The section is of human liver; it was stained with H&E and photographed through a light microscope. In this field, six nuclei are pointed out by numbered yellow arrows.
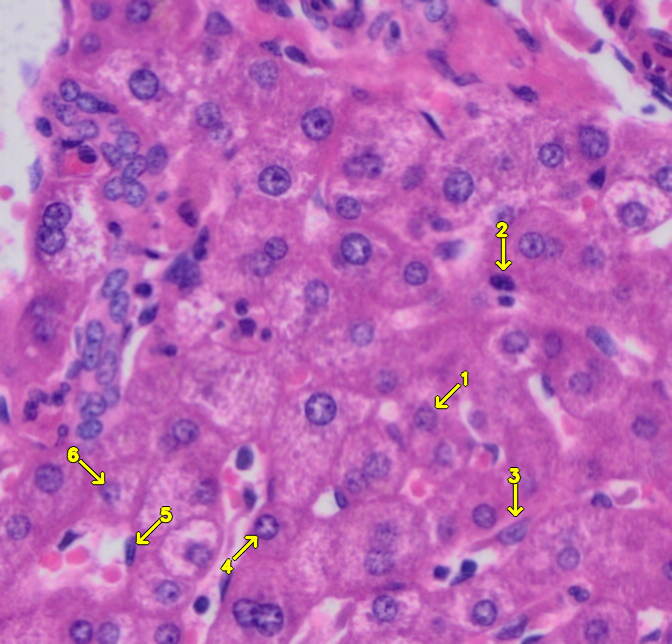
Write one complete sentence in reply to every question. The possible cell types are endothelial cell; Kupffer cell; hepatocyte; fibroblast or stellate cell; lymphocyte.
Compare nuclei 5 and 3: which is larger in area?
Nucleus 3 is larger, with an area about 1.5 times that of nucleus 5.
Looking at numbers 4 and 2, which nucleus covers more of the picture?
It is nucleus 4, which covers about 1.5 times the area of nucleus 2.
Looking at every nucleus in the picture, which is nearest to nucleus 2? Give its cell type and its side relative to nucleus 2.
It is a lymphocyte, whose nucleus lies below nucleus 2.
